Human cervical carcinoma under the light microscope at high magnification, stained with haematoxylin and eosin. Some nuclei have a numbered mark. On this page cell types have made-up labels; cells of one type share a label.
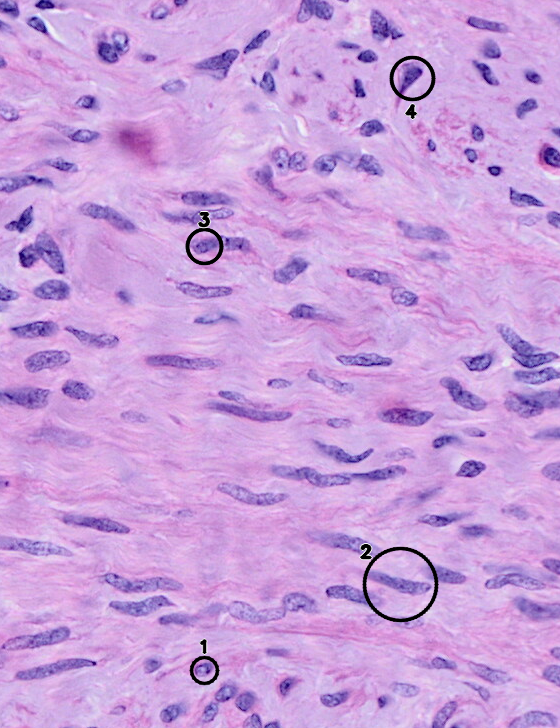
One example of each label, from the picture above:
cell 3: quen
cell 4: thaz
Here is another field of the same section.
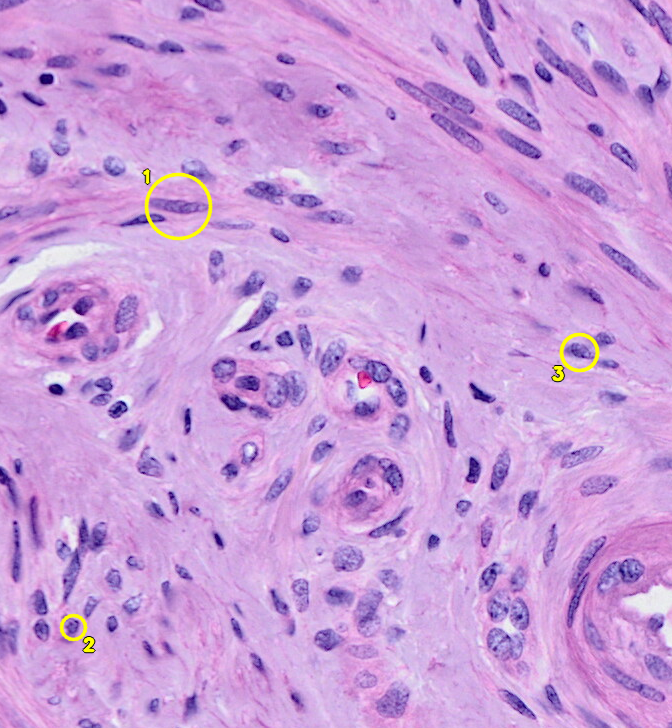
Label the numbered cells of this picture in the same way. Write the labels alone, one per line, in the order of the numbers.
quen
quen
thaz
